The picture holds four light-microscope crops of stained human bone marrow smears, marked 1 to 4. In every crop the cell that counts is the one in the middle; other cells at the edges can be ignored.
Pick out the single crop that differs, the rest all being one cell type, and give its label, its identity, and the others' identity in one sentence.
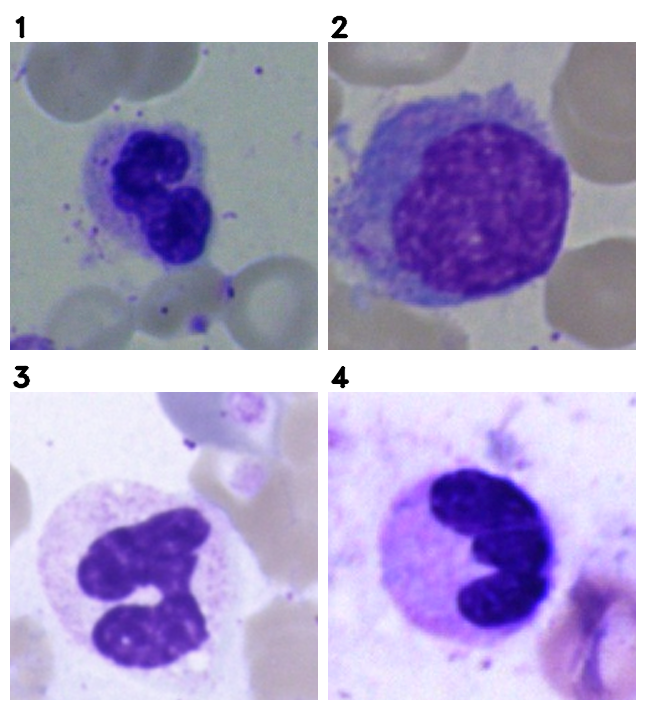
The different crop is 2; it is a monocyte, and the others all show segmented neutrophils.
